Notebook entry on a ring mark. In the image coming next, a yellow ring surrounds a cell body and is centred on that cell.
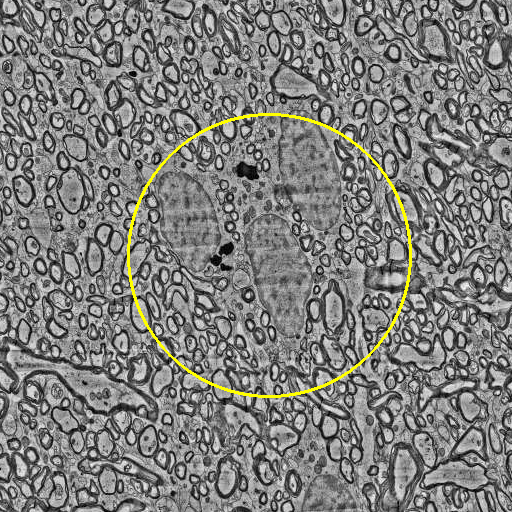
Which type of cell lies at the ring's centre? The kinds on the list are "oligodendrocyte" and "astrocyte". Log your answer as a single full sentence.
Centred in the yellow ring is an oligodendrocyte, the cell recorded for this image.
